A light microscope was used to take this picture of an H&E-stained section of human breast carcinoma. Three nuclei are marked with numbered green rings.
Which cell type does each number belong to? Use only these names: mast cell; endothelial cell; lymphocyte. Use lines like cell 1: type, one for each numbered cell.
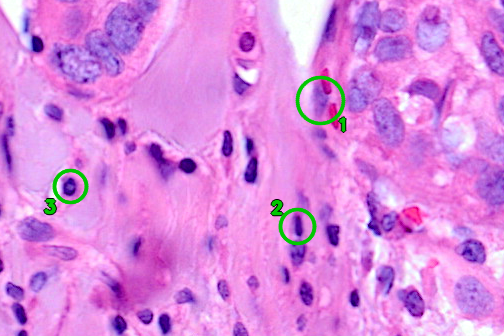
cell 1: endothelial cell
cell 2: lymphocyte
cell 3: mast cell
